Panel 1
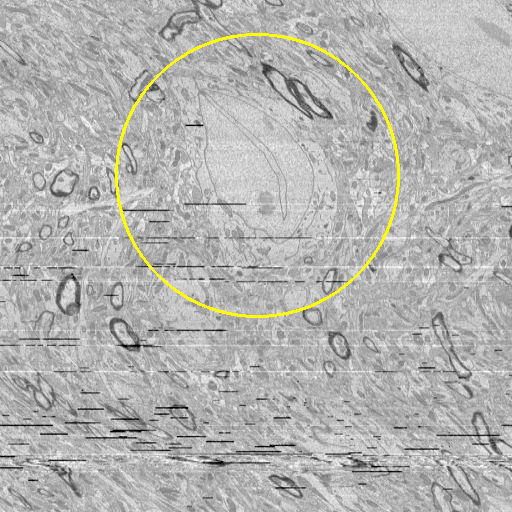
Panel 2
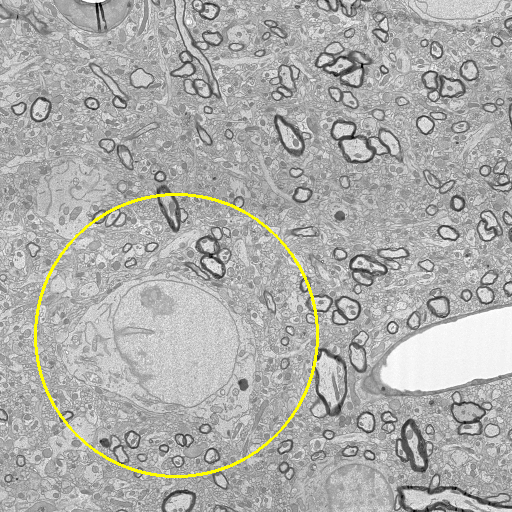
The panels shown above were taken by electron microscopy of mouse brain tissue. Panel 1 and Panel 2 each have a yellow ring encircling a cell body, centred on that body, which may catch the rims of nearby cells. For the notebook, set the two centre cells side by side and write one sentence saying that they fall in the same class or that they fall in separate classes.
The centred cells of Panel 1 and Panel 2 fall in the same class.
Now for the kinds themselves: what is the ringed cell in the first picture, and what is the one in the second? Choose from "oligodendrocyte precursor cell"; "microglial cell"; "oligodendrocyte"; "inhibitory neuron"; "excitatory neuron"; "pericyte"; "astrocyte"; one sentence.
The cell at the ring centre is an excitatory neuron in both pictures.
